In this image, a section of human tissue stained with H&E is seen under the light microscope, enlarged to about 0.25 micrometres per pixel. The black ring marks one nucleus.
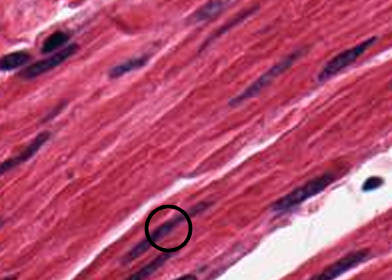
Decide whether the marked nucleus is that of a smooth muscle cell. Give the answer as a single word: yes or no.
yes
